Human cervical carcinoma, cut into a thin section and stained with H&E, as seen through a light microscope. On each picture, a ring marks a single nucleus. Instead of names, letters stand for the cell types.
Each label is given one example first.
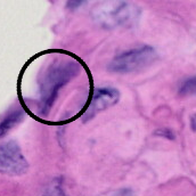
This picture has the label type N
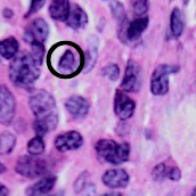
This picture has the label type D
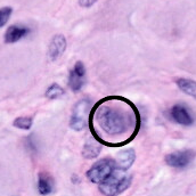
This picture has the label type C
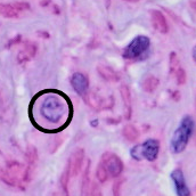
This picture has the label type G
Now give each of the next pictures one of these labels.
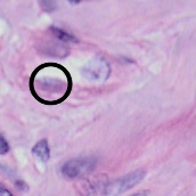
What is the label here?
type C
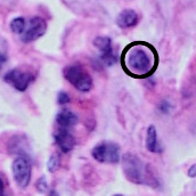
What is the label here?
type D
